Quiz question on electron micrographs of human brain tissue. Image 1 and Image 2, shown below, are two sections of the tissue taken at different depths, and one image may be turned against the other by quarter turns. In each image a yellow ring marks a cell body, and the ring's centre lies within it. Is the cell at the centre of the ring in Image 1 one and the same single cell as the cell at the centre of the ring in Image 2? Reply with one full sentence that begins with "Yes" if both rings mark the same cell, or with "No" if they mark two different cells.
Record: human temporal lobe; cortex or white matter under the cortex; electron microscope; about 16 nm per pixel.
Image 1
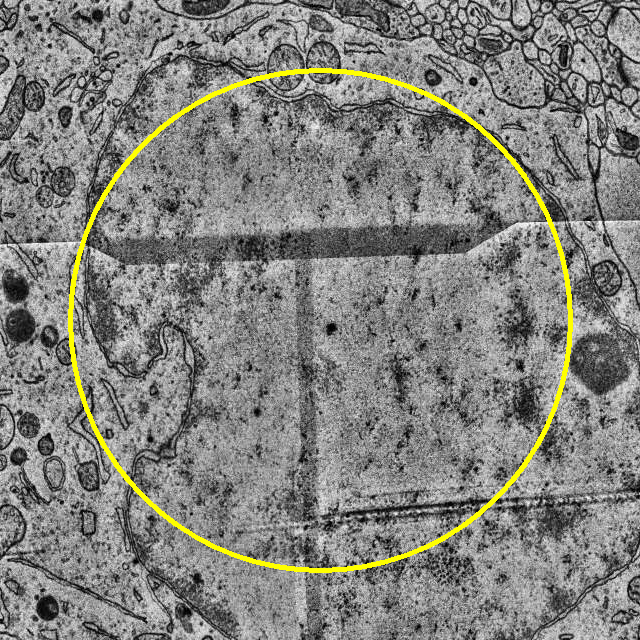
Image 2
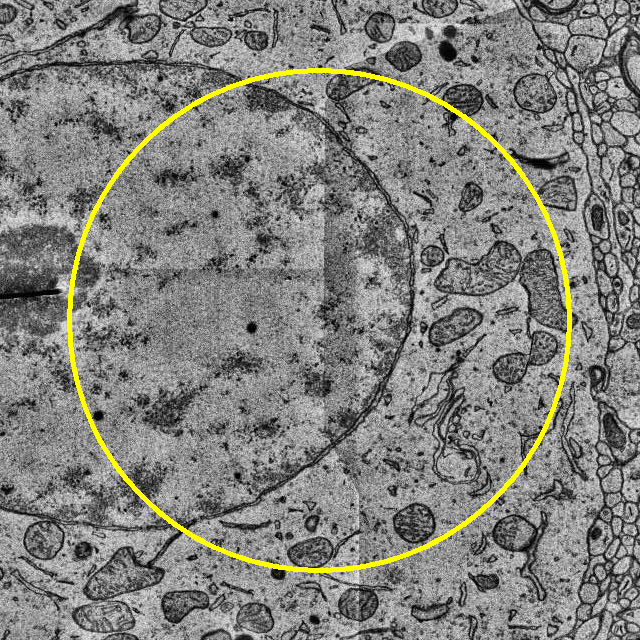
No, in this micrograph the two rings mark two different cells.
